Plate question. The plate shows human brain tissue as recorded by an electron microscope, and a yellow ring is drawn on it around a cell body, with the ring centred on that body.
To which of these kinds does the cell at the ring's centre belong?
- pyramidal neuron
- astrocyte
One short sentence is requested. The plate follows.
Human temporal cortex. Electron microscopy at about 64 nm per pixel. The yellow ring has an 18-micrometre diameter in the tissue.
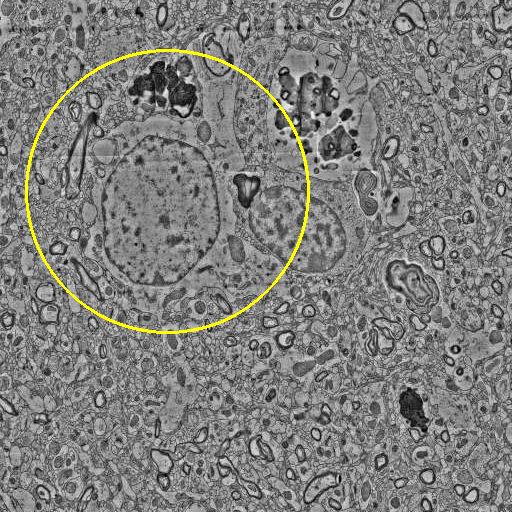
The cell at the ring's centre is an astrocyte.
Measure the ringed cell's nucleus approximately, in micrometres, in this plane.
In this plane, about 9 micrometres in length and 8 in width.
